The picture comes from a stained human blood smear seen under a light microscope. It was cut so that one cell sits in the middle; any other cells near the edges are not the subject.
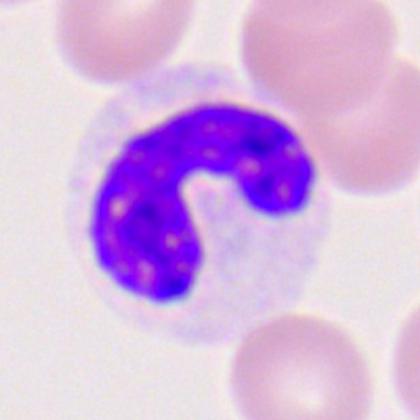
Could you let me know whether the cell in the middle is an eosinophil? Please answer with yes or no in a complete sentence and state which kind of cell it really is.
No; rather than an eosinophil, the cell at the center is a band neutrophil.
